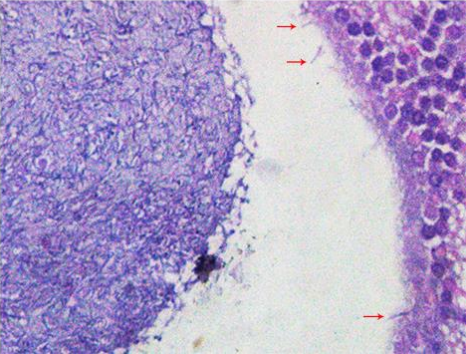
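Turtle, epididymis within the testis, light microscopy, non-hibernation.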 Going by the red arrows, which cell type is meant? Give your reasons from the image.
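Thin thread-like elements sit at the edge of the epithelial lining, where the red arrows point. The lumen beside them is packed with similar blue-purple filaments.
Hence: spermatozoa.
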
